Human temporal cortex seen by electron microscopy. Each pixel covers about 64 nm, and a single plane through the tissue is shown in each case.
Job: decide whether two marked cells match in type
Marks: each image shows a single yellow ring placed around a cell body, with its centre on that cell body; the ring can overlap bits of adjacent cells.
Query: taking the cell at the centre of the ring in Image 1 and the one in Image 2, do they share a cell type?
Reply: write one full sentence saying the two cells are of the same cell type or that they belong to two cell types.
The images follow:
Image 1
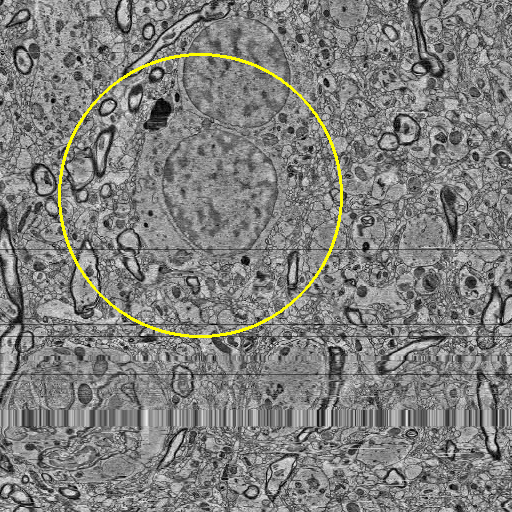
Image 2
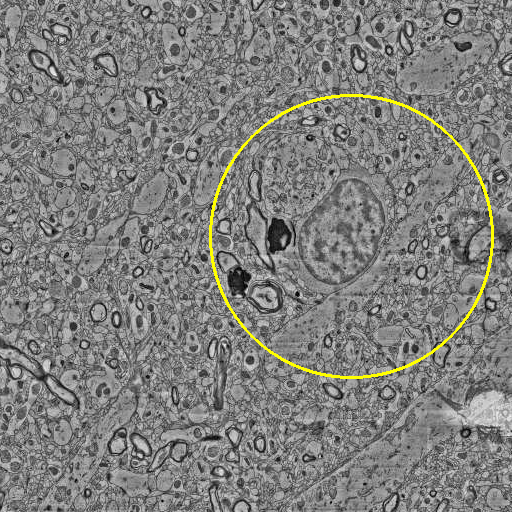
The cells at the ring centres in Image 1 and Image 2 are of the same cell type.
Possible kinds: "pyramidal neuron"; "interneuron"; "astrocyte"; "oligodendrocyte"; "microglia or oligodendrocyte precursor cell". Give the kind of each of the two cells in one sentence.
Both cells are the same kind, each one being an oligodendrocyte.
